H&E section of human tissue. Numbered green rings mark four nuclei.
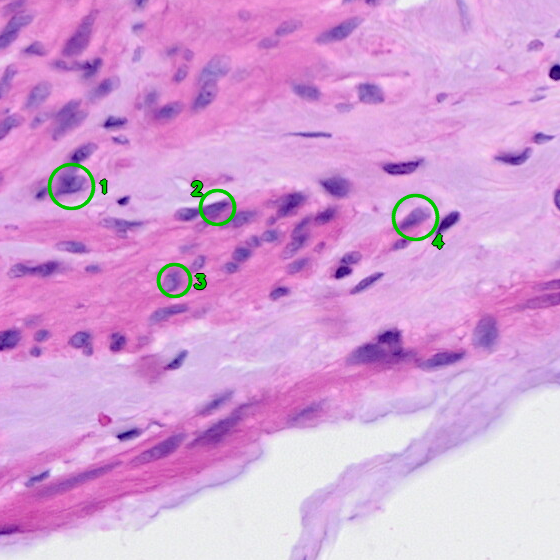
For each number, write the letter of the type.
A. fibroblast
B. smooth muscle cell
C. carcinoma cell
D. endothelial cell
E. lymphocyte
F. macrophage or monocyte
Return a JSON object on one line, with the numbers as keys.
{"1": "D", "2": "B", "3": "B", "4": "B"}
